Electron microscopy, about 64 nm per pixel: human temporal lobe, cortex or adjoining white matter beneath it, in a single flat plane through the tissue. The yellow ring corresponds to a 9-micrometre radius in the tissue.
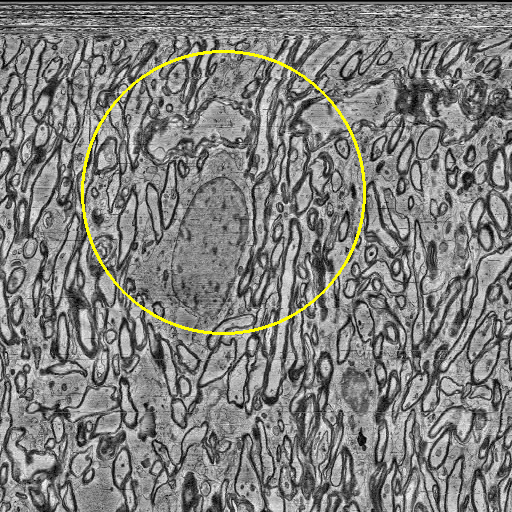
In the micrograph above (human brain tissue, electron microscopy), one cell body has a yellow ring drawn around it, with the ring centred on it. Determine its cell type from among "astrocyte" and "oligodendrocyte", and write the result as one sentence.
The cell whose body is ringed is an astrocyte.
